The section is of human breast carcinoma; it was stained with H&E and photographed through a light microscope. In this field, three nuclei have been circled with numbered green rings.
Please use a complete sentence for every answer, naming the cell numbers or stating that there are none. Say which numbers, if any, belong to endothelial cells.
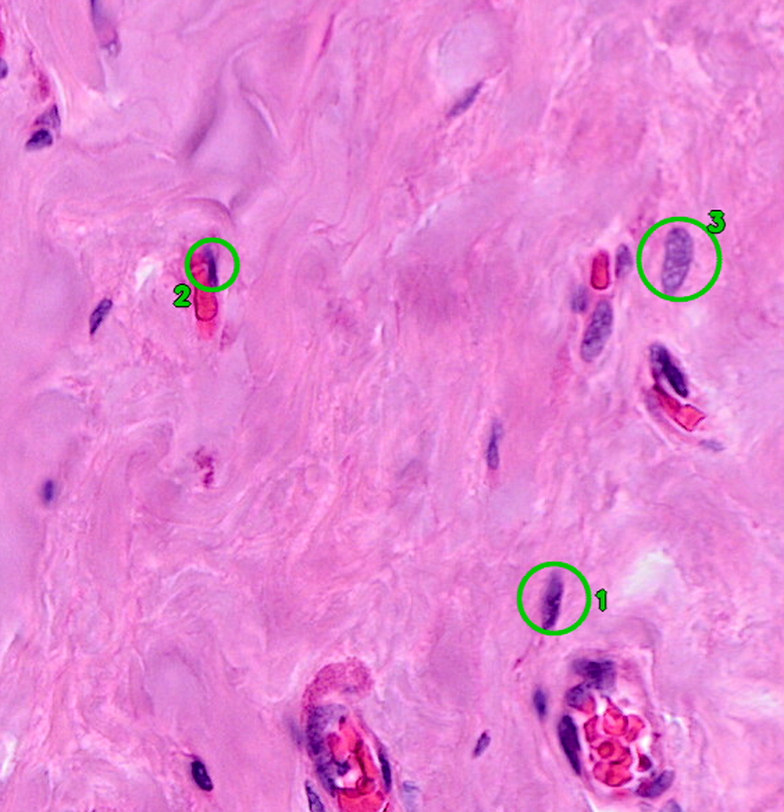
Only cell 2 is an endothelial cell; none of the other numbered cells is.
